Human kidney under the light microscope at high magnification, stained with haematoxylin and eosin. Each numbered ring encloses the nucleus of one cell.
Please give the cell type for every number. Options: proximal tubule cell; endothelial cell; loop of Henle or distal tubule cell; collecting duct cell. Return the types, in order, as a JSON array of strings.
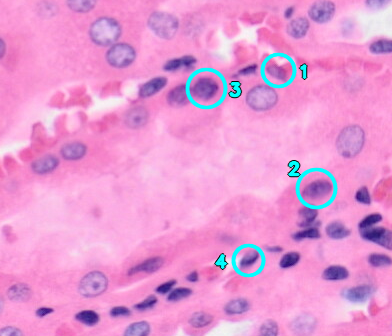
["endothelial cell", "proximal tubule cell", "proximal tubule cell", "endothelial cell"]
